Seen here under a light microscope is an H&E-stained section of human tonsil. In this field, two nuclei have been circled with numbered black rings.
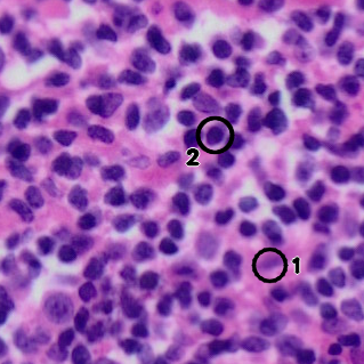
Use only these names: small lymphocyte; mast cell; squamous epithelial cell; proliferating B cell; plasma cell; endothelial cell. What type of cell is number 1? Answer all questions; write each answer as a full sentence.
Here, the cell given the number 1 is an endothelial cell.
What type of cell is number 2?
The cell indicated with the number 2 is classed as a small lymphocyte.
